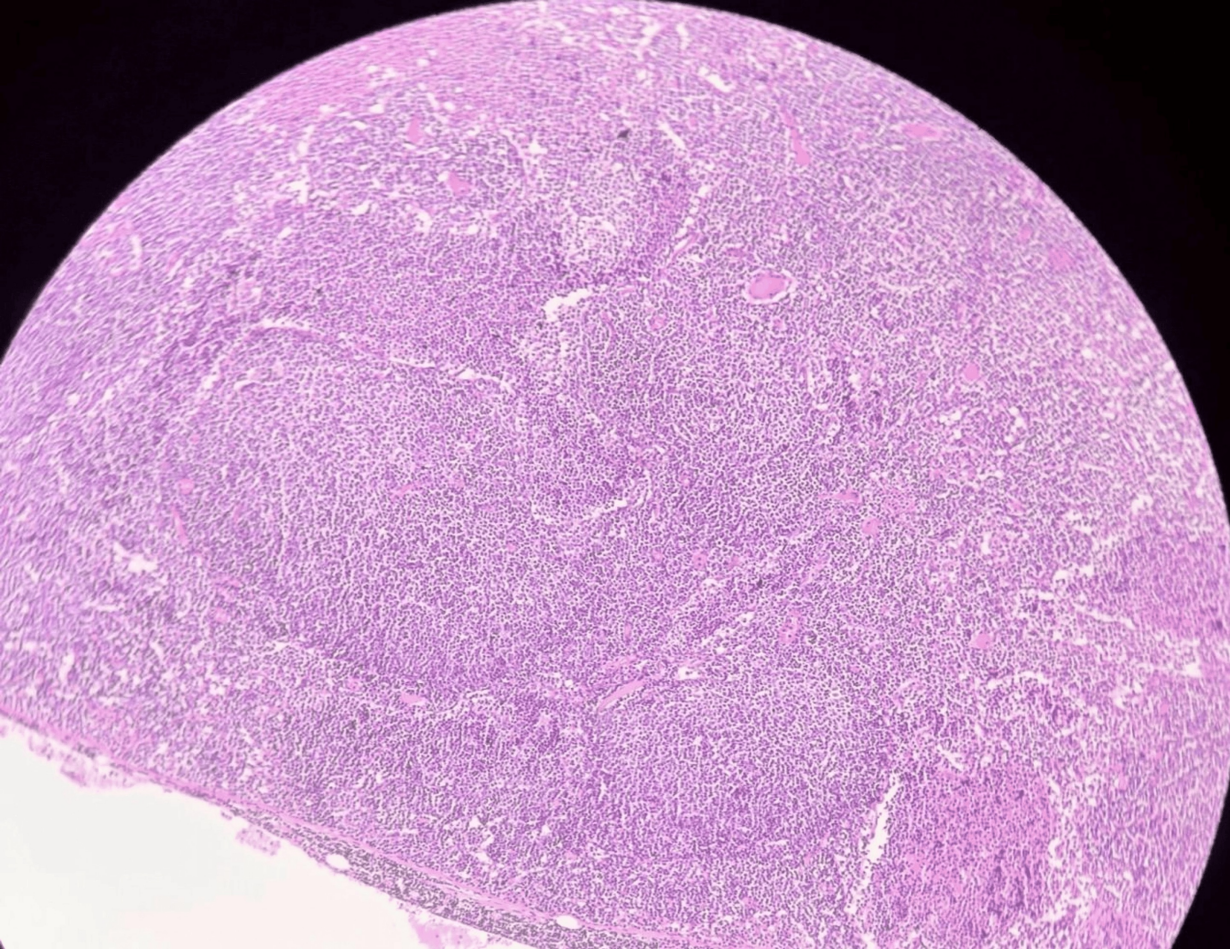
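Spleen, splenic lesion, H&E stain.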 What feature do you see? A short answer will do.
Closely packed abnormal lymphoid follicles.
